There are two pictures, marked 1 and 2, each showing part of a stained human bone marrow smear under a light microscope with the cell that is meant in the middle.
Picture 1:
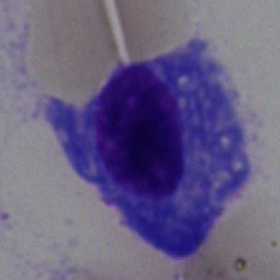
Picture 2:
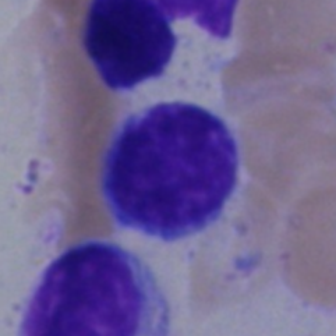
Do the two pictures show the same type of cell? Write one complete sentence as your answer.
No, picture 1 shows a plasma cell and picture 2 shows a lymphocyte.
